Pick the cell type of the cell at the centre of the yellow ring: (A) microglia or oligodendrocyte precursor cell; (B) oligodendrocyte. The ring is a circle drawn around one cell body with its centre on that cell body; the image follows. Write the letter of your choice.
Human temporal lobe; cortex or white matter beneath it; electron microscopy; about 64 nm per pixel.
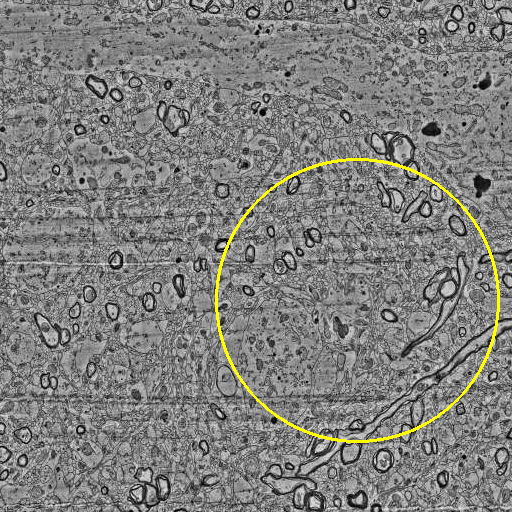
A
